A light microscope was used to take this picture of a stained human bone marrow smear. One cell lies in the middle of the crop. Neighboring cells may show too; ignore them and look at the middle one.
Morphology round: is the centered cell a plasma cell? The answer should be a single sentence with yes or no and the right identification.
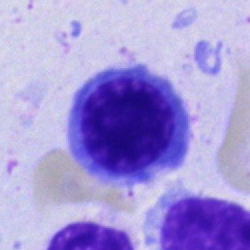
No, the cell in the middle is an erythroblast; it is not a plasma cell.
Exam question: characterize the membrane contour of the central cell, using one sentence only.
Expected answer: a smooth cell outline without projections of any sort.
